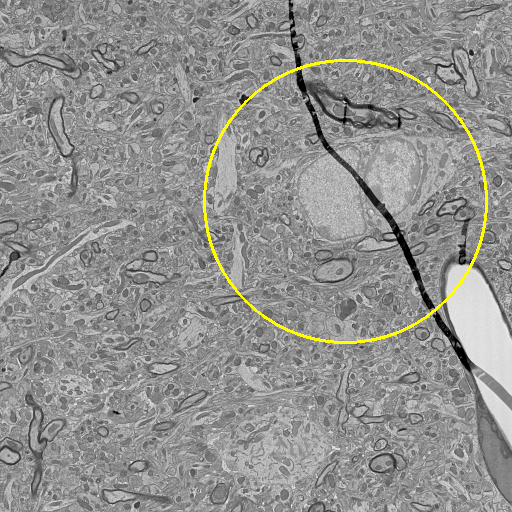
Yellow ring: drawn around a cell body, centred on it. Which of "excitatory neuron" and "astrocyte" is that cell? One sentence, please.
That cell body is from an astrocyte.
